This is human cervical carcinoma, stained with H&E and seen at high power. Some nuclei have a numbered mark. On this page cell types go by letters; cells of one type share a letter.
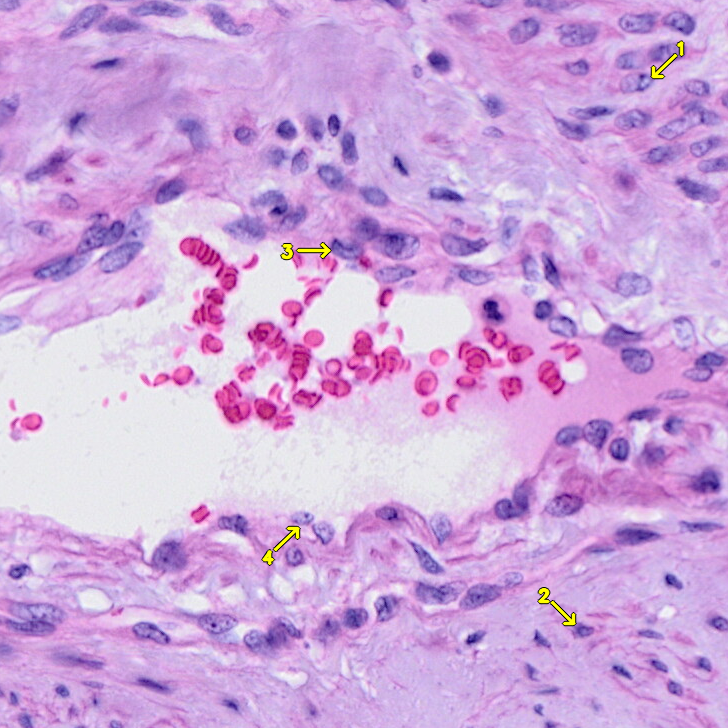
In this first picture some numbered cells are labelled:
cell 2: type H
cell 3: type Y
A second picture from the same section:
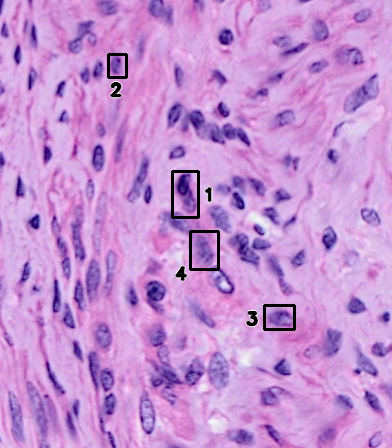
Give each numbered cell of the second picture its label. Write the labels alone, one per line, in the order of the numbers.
type Y
type H
type H
type Y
